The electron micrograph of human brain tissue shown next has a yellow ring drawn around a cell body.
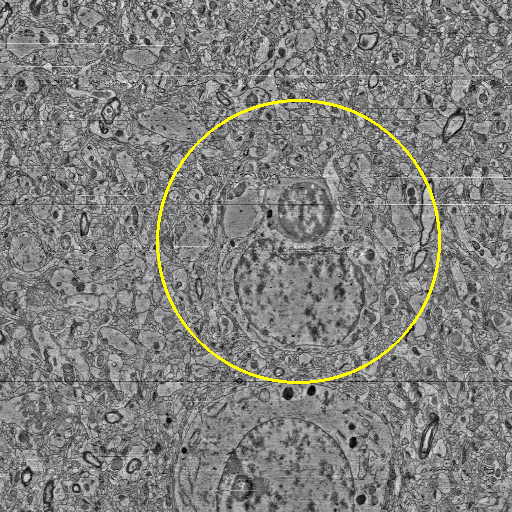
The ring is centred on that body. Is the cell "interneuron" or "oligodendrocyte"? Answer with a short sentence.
The cell in question is an oligodendrocyte.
